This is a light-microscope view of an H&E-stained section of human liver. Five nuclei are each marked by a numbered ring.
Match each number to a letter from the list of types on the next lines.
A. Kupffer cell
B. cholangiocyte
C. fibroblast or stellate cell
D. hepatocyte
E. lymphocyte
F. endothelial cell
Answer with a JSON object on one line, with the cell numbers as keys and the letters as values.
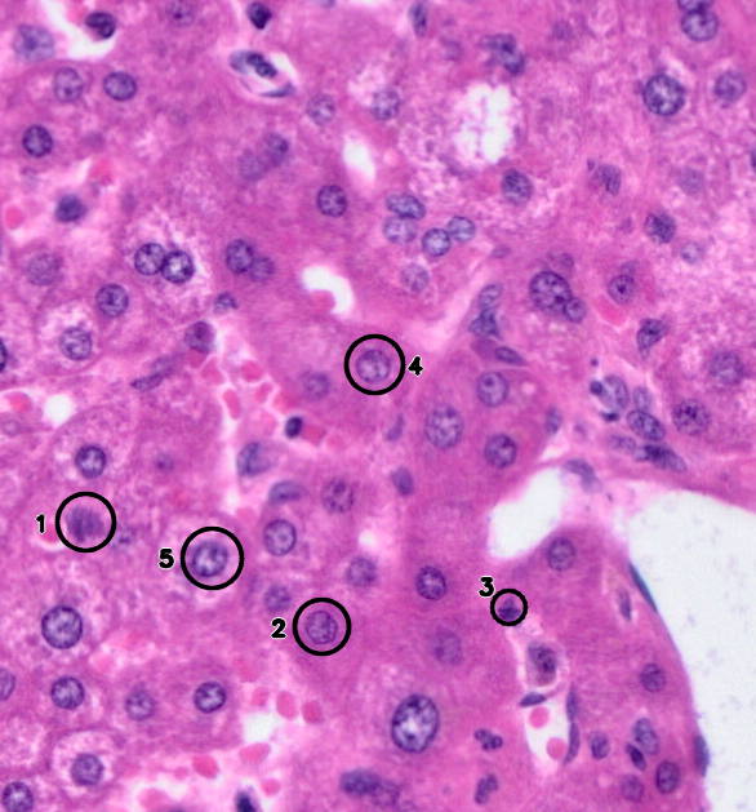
{"1": "F", "2": "D", "3": "C", "4": "D", "5": "D"}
